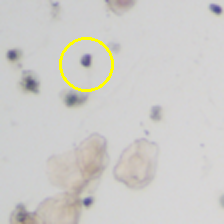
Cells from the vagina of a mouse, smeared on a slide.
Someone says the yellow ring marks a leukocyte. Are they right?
They are right: it is a leukocyte.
